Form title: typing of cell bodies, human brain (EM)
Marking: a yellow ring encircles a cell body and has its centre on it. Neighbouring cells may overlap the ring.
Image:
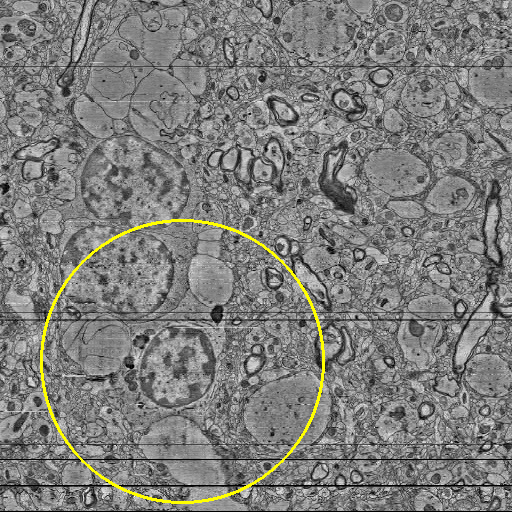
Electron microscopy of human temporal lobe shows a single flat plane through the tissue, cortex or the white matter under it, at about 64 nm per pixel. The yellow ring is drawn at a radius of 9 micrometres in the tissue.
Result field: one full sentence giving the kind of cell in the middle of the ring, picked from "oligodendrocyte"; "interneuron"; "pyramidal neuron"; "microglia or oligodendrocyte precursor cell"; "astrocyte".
In the picture, the ring is centred on a microglial cell or oligodendrocyte precursor cell, whose cell body it encircles.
